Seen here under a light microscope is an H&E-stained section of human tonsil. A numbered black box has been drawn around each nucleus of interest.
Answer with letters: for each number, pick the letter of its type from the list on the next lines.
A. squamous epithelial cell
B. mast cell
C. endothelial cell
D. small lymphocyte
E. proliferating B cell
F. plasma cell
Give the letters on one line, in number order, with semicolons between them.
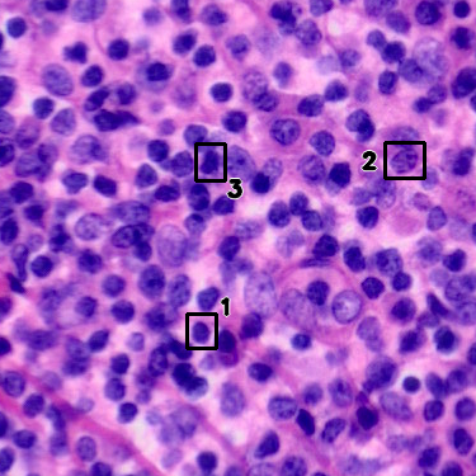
D; F; D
